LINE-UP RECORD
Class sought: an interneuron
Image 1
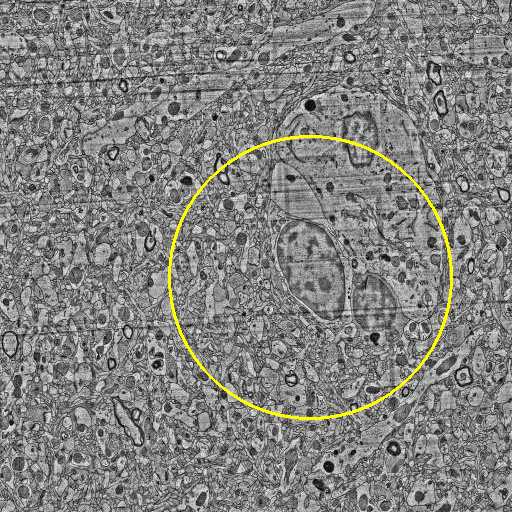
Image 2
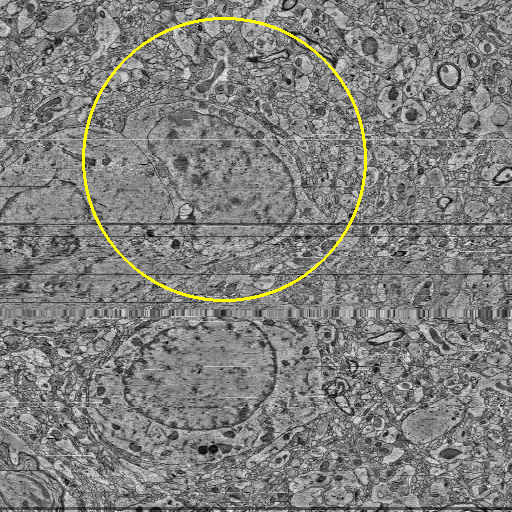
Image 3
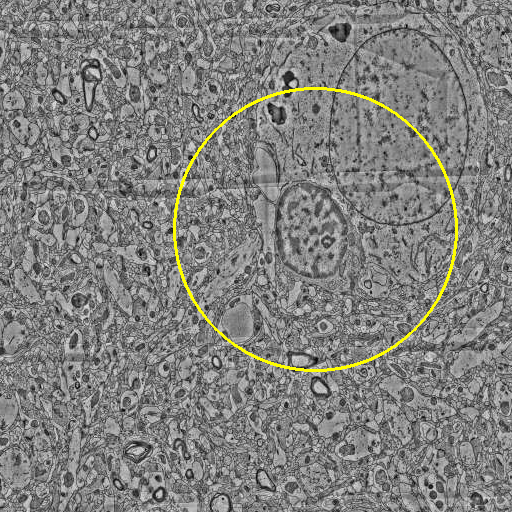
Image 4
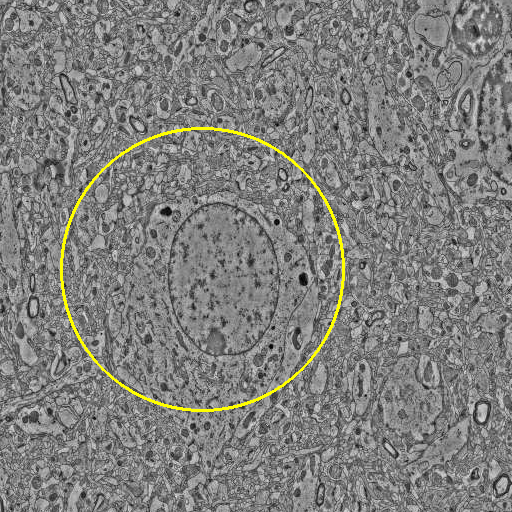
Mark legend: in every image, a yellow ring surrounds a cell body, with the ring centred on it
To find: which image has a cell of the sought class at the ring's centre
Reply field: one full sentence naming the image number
The ring-centred cell of image 2 belongs to the class sought.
